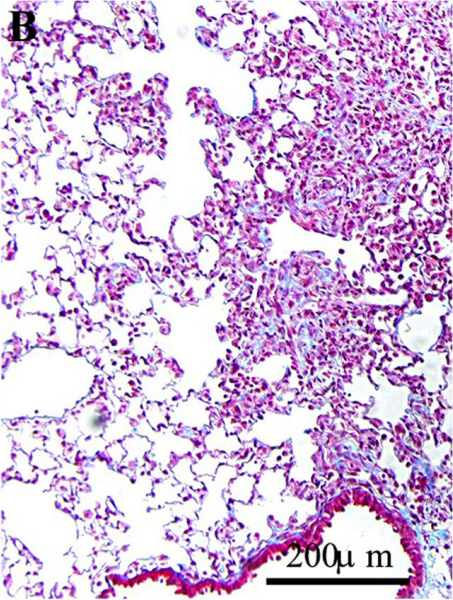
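Lung tissue showing fibrosis, with dense, cell-rich regions that fill the right and central parts of the section and replace the open alveoli. These areas contain many closely packed dark nuclei set in red-stained tissue, with fine blue-stained fibres running between them. On the left, remaining alveoli stay open but their walls are thicker and more cellular than thin septa. An airway at the bottom is lined by a continuous layer of red-stained epithelial cells with a band of blue connective tissue beneath it, and blue fibres also appear along the right edge.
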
